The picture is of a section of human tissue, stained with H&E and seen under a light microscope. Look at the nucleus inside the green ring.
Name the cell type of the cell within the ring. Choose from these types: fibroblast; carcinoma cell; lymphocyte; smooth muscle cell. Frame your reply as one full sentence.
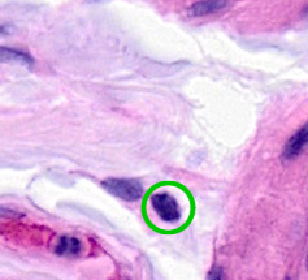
In this tissue sample, the cell within the ring is a lymphocyte.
